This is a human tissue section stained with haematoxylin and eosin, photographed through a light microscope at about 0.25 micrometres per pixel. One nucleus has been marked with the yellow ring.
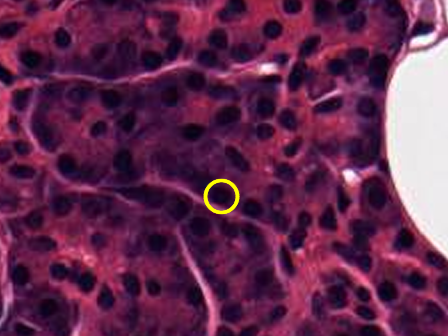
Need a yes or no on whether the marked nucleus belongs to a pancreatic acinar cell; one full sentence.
Yes, the marked nucleus is to be assigned to a pancreatic acinar cell.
